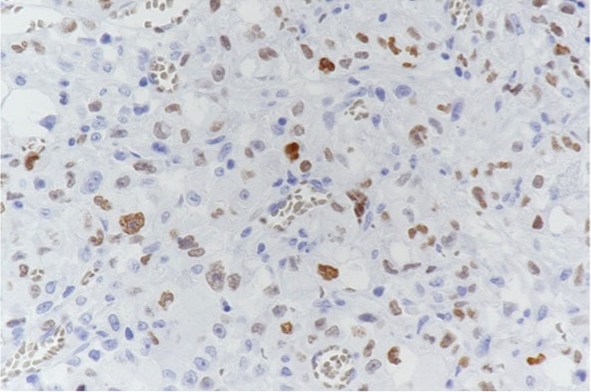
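Scattered tumor cells lie in a loose stroma. Many of these cells have enlarged, irregular nuclei that are stained brown with varying intensity, while other nuclei are counterstained blue. Small vessels containing red blood cells lie between the cells.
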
